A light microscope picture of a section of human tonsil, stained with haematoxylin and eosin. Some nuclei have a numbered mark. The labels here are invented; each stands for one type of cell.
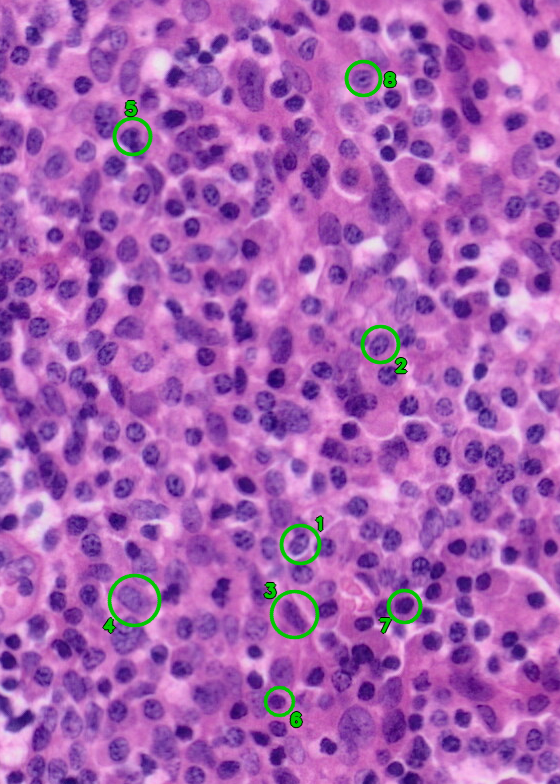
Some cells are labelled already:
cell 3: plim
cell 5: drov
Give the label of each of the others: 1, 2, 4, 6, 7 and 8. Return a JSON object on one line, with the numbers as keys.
{"1": "drov", "2": "drov", "4": "plim", "6": "plim", "7": "drov", "8": "drov"}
